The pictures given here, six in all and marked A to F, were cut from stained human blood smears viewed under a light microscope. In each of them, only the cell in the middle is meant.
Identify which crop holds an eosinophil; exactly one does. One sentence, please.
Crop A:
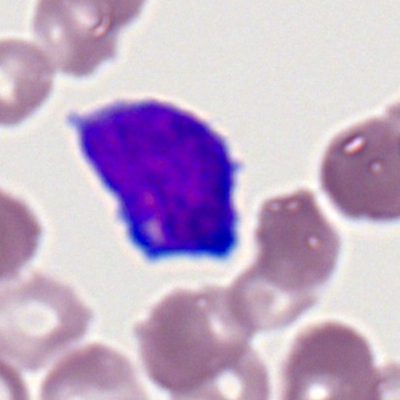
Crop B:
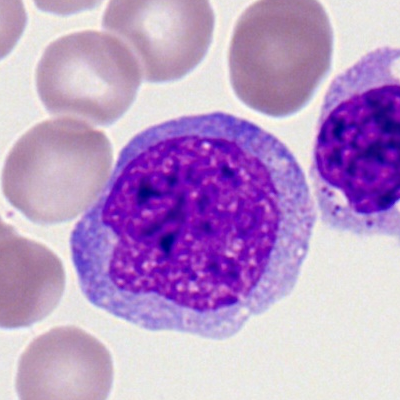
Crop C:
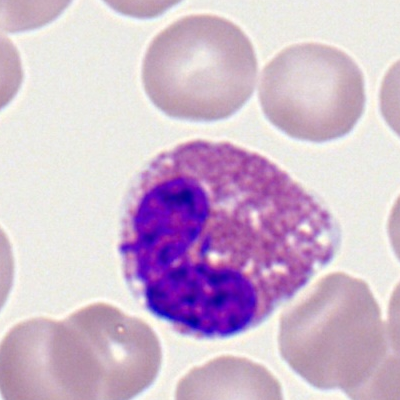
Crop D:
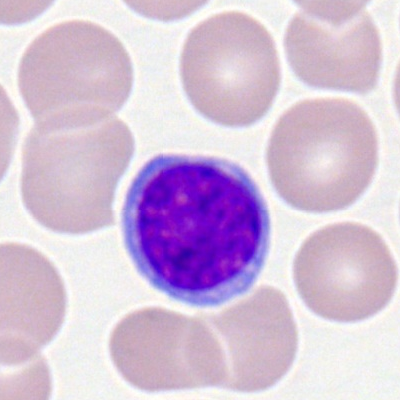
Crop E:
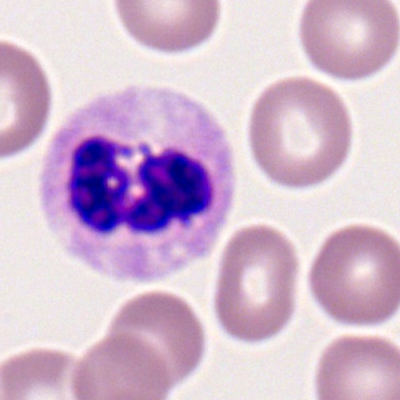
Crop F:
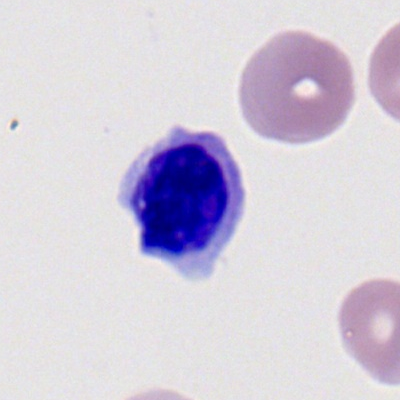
The correct choice is crop C, the one showing an eosinophil.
